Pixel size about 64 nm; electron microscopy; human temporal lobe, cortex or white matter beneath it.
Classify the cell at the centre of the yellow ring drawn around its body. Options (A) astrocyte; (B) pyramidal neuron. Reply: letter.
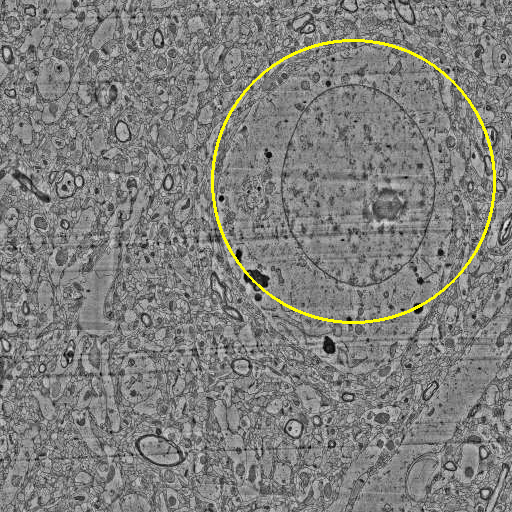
B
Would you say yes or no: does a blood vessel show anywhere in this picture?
No, no vessel appears in the picture.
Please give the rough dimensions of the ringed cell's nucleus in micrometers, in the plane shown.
In this plane the nucleus spans approximately 13 by 10 micrometers.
